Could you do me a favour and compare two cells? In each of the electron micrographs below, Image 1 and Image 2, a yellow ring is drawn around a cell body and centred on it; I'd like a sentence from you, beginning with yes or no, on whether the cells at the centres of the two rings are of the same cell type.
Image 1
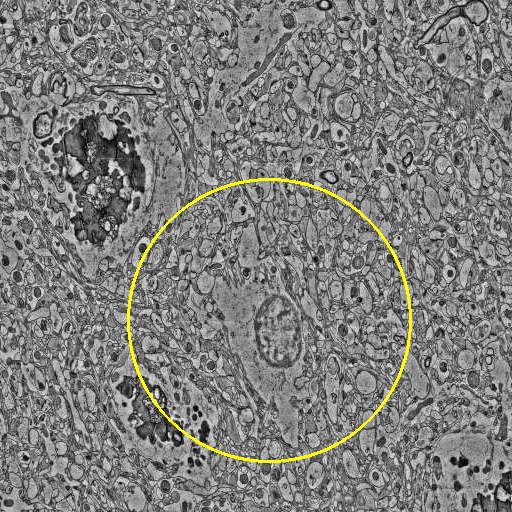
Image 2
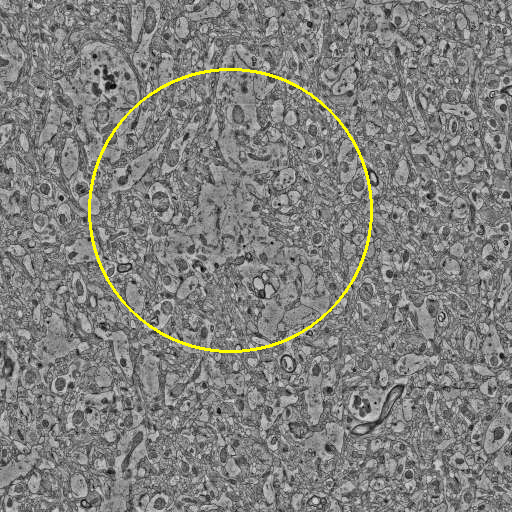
Yes, the two cells are of the same cell type.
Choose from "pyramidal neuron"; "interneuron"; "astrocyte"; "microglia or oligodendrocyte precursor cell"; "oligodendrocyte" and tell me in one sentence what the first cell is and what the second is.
In each of the two pictures, the ringed cell is an astrocyte.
